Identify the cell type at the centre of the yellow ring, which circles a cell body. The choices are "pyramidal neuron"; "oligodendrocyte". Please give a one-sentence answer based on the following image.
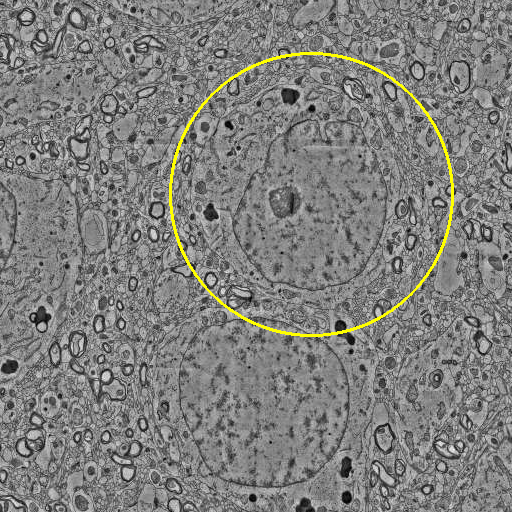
The cell marked by the ring is a pyramidal neuron.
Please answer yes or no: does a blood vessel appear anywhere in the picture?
No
